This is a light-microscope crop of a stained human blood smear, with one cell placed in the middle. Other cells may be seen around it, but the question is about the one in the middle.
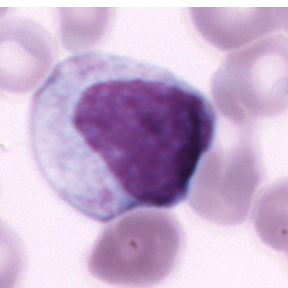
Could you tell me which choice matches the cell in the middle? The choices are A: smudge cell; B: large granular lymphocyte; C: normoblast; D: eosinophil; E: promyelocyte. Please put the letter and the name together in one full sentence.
The right choice is option B: the cell in the middle is a large granular lymphocyte.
